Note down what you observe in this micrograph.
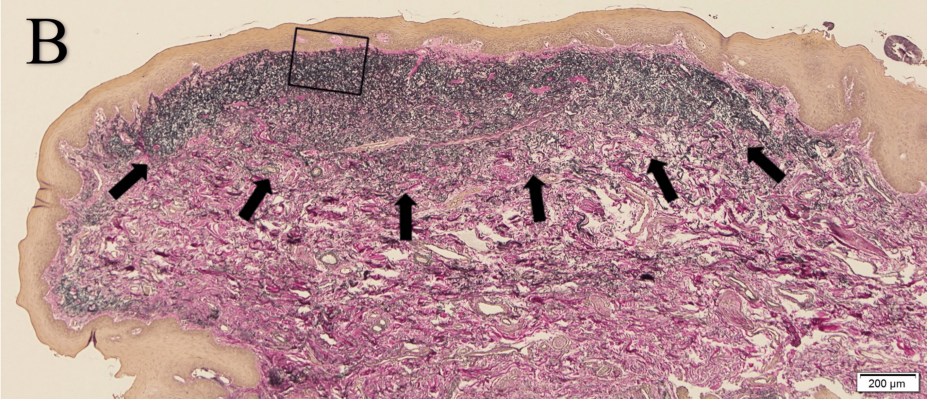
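This low-power section shows a surface stratified squamous epithelium, stained pale yellow-tan, overlying a dense band of delicate fibers stained black-purple. The fibrillar band sits immediately under the epithelium, forming a broad, darkly granular to threadlike zone across most of the section and tapering at the ends. Beneath it, the connective tissue is mostly magenta, with scattered coarse dark fibers and small round vessel profiles among clefts. At the left edge, dark fibers also extend downward along the margin. The strong contrast between the pale epithelium, the black-purple band and the magenta deeper tissue is clear.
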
